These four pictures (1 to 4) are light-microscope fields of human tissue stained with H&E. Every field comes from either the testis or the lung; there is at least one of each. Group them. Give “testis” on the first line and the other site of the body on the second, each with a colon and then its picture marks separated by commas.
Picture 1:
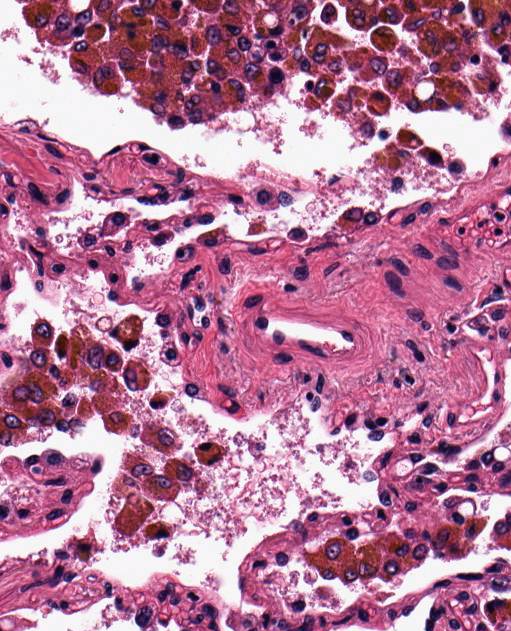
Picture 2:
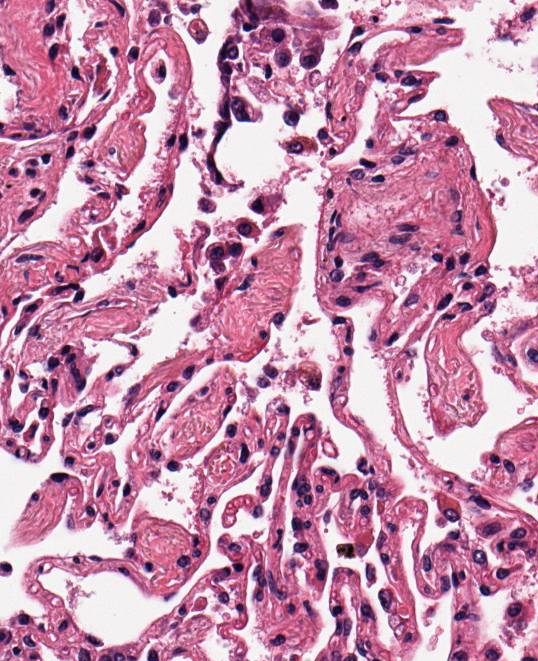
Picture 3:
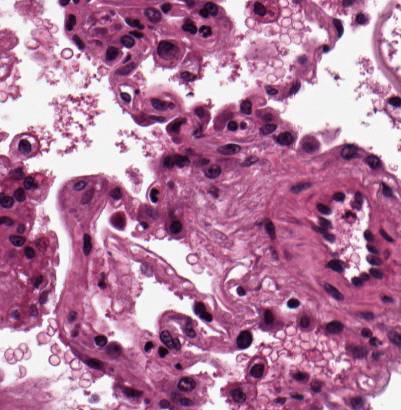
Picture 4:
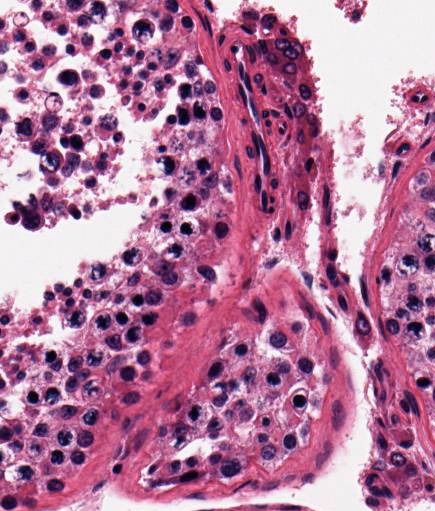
testis: 4
lung: 1, 2, 3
